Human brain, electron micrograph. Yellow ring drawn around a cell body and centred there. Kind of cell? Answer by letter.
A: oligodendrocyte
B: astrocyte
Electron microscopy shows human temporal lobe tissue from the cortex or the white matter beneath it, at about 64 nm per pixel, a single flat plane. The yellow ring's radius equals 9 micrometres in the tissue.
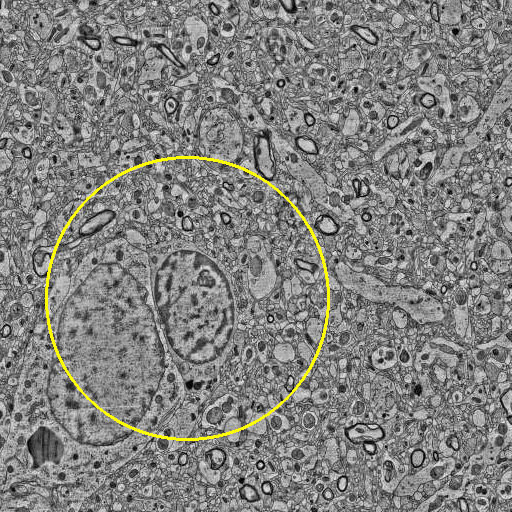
A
